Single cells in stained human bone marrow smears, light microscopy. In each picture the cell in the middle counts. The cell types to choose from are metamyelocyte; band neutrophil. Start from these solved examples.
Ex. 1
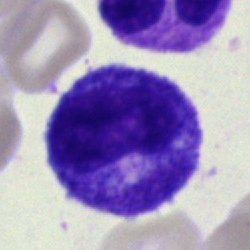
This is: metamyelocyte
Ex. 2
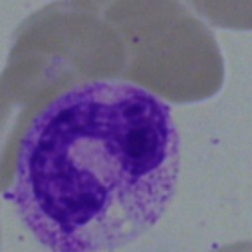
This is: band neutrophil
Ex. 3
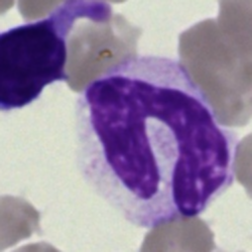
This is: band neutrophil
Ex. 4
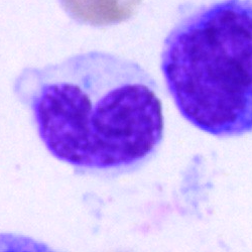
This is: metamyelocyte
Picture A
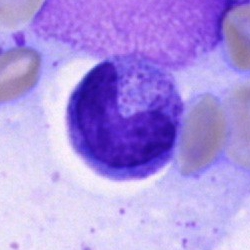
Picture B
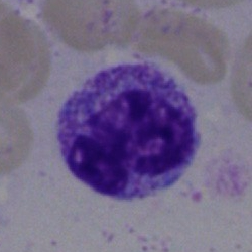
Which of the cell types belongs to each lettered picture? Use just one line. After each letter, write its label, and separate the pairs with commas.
A metamyelocyte, B metamyelocyte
